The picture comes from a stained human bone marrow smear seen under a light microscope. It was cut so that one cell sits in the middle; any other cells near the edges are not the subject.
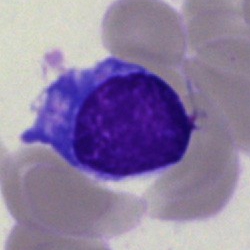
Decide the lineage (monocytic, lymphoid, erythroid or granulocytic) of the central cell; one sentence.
Of the possible lineages, the central cell belongs to the lymphoid lineage.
